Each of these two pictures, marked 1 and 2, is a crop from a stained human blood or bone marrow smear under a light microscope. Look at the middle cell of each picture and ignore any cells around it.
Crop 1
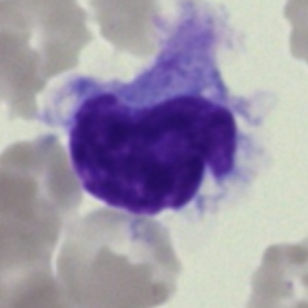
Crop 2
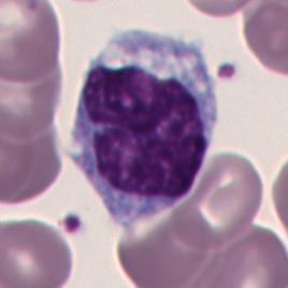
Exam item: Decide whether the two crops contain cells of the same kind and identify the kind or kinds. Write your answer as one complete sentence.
No, crop 1 shows a hairy cell, and it is crop 2 that shows a monocyte.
